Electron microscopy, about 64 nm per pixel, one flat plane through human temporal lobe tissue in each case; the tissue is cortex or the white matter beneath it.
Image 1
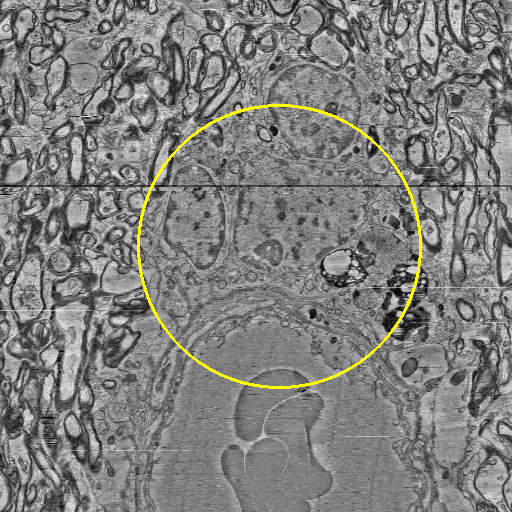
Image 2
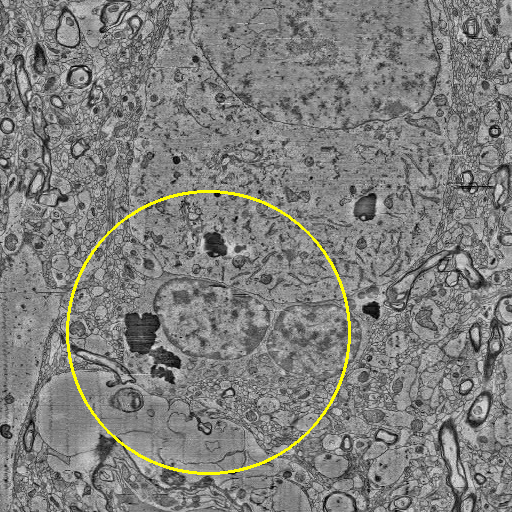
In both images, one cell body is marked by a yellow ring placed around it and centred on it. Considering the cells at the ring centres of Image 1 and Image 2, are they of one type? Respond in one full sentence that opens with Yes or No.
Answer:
No, two types apply to the ring-centred cells of Image 1 and Image 2.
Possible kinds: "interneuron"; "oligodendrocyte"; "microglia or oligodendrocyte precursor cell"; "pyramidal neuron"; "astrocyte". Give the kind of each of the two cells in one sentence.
The cell in the second picture is an oligodendrocyte, and that in the first is an astrocyte.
